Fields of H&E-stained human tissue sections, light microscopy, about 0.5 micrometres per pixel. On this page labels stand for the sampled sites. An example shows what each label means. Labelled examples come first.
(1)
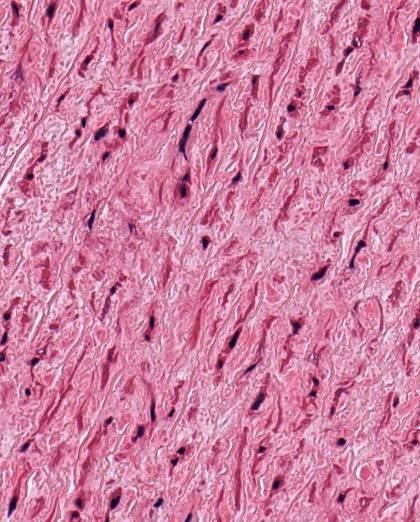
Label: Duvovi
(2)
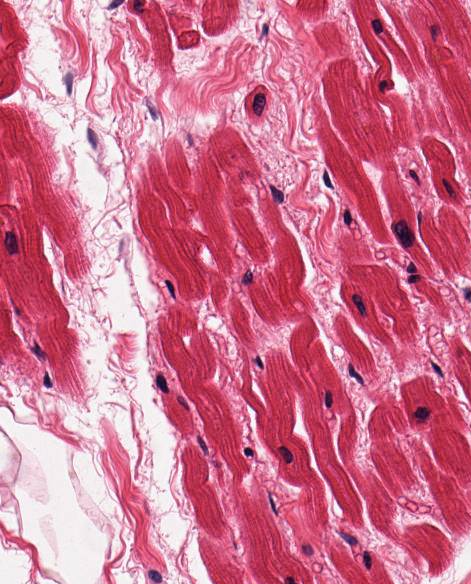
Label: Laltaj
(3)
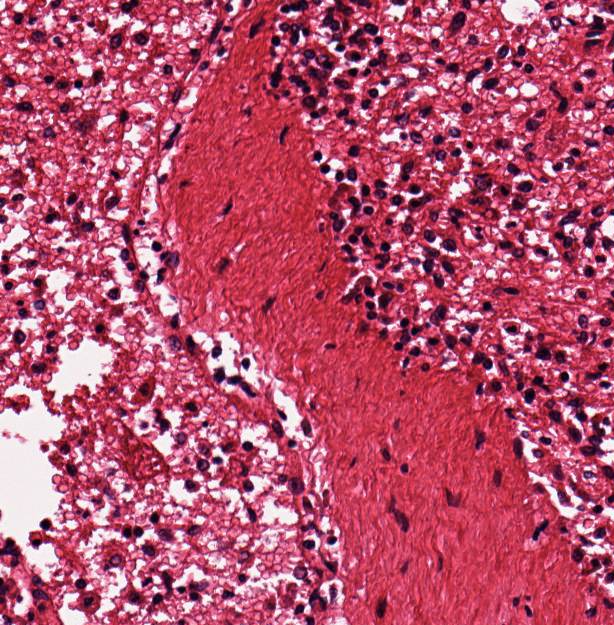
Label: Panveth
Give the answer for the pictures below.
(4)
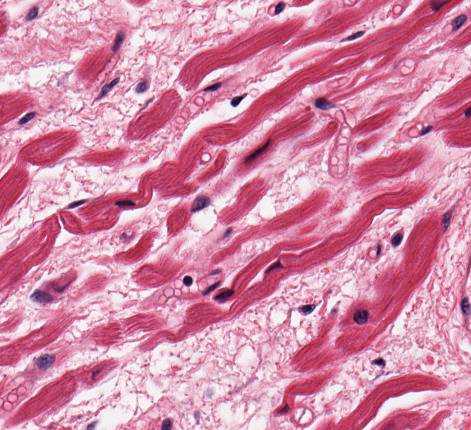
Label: Laltaj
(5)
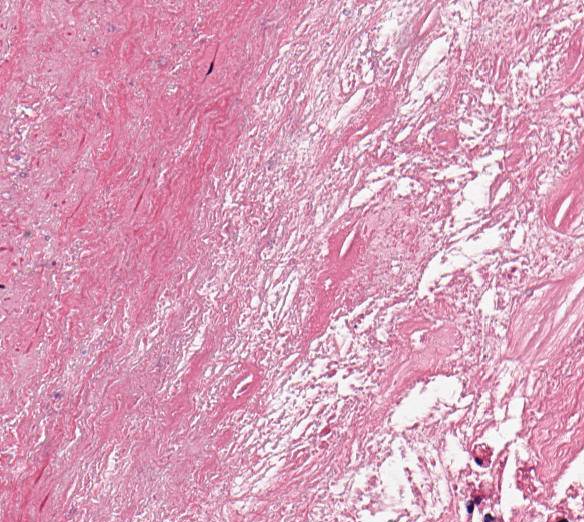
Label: Duvovi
